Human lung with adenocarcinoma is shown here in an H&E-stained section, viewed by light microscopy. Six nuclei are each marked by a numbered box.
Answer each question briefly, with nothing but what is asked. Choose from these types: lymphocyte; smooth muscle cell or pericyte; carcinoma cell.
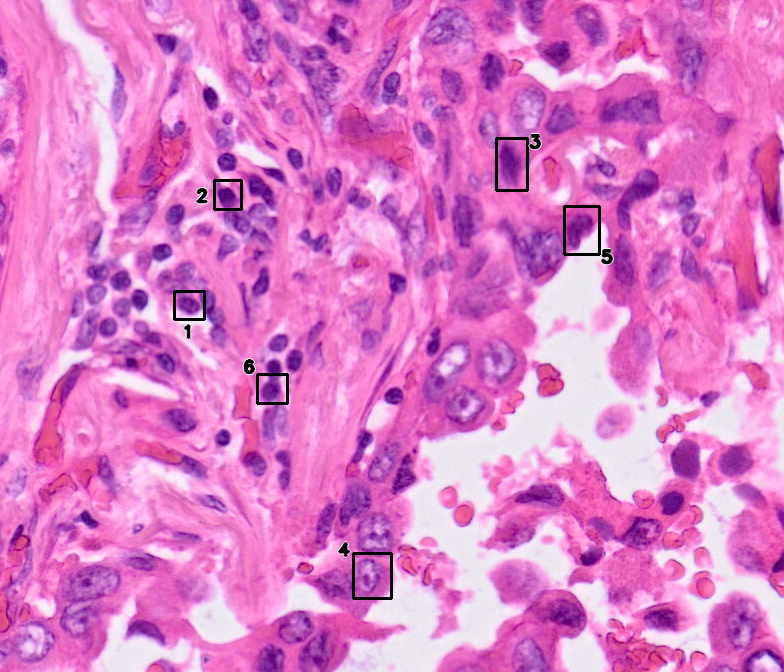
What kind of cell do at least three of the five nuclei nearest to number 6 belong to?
lymphocyte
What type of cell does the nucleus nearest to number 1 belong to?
lymphocyte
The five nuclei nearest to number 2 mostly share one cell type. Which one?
lymphocyte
